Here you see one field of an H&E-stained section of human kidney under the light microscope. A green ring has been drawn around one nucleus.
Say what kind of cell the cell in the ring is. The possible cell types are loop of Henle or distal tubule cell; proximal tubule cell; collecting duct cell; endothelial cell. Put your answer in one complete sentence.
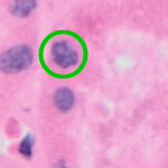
The identity of the cell in the ring is that of a proximal tubule cell.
